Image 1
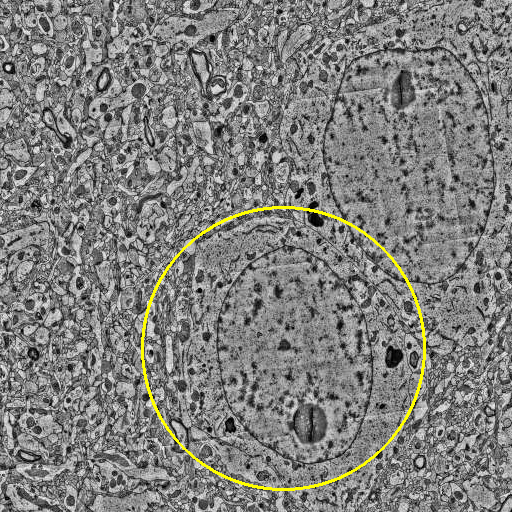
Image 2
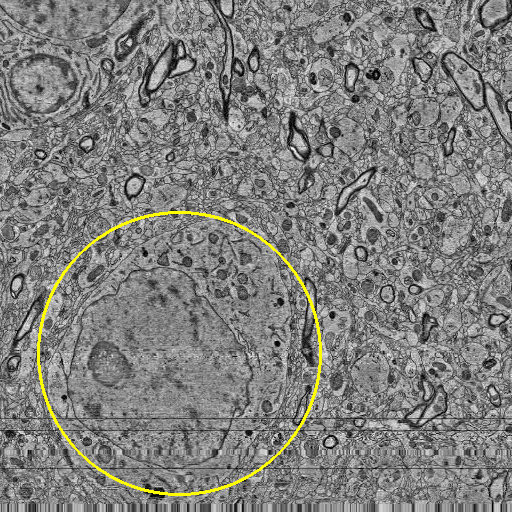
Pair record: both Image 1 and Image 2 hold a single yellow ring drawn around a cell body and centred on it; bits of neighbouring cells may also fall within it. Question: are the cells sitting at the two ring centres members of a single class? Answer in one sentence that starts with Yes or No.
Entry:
Yes, both ring-centre cells in Image 1 and Image 2 are members of one class.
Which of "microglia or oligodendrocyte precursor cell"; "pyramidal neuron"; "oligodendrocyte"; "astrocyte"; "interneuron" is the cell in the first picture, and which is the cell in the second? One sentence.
The cell at the ring centre is a pyramidal neuron in both pictures.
